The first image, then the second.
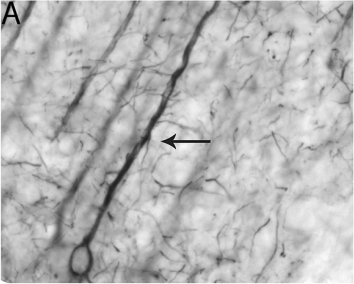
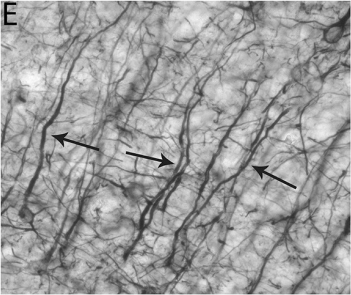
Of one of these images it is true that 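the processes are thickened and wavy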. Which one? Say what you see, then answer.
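Second image: many parallel dark processes are thick and follow wavy courses. The answer: the second image.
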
